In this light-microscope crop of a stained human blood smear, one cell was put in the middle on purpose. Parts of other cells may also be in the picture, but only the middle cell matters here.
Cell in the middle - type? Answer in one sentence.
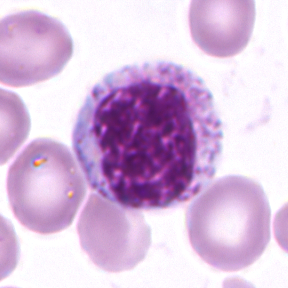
The crop shows a metamyelocyte in its centre.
